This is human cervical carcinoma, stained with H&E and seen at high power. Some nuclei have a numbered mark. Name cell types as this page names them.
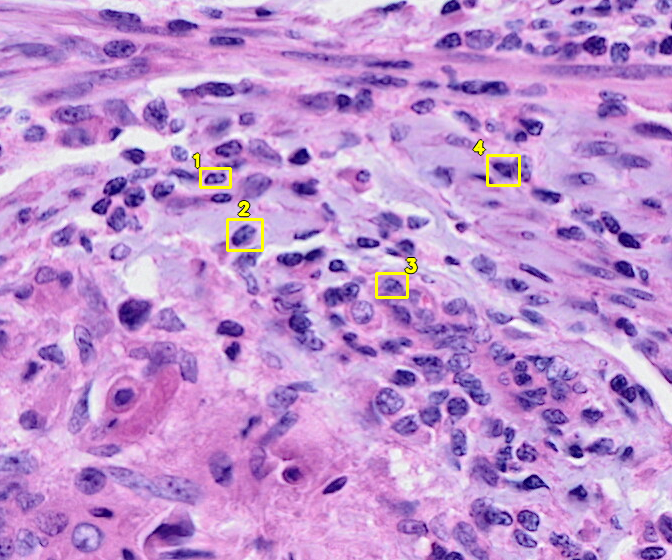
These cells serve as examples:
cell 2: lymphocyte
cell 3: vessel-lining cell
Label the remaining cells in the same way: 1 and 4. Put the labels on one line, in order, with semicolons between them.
lymphocyte; lymphocyte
